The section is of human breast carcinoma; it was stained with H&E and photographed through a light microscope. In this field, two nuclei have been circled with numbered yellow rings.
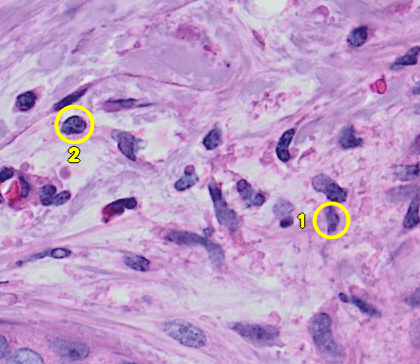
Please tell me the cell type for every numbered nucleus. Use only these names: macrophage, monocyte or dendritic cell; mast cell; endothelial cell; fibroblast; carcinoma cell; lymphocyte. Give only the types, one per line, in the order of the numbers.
macrophage, monocyte or dendritic cell
mast cell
